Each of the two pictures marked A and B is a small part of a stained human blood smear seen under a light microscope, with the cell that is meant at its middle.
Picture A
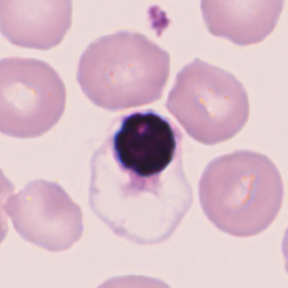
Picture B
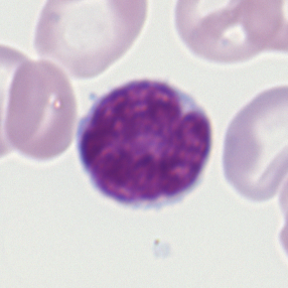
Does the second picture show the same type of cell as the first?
no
